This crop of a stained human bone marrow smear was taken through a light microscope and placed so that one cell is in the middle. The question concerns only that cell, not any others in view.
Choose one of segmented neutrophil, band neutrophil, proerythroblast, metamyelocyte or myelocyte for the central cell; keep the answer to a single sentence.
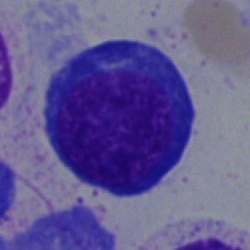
The cell centered in this field of view is a proerythroblast.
